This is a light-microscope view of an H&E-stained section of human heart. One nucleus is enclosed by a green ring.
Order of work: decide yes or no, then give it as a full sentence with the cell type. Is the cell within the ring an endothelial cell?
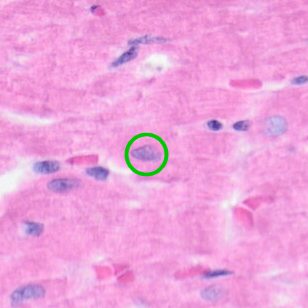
No, the cell within the ring is scored as a cardiomyocyte and not as an endothelial cell.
